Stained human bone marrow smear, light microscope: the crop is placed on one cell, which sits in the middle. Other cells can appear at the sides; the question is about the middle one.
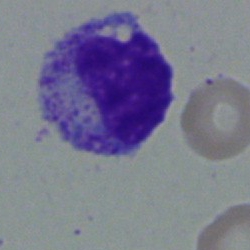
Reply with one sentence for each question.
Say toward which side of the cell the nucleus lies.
The nucleus lies toward the right of the cell.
